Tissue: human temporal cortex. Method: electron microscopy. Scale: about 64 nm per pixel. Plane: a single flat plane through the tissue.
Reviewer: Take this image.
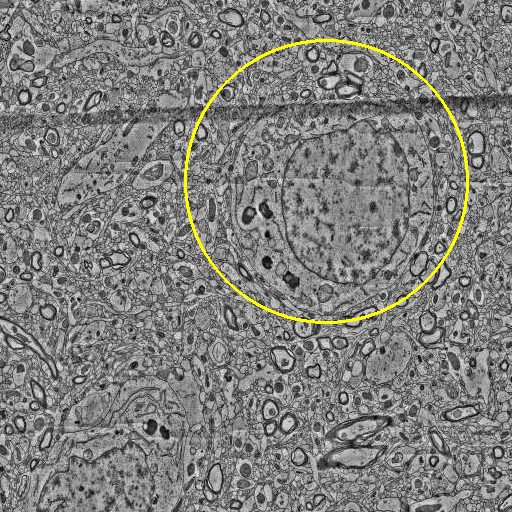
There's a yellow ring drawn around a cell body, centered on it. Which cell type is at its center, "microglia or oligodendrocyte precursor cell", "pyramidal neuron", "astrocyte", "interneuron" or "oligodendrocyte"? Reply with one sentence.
At the center of the yellow ring is a pyramidal neuron.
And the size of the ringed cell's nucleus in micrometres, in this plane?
In this plane, about 11 micrometres in length and 8 in width.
